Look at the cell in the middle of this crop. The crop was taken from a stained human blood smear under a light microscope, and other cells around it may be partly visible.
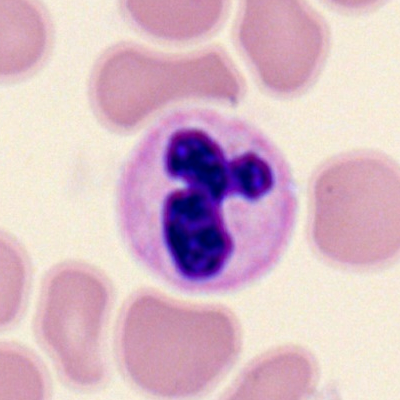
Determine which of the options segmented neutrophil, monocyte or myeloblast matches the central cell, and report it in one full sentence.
By classification, the middle cell of this crop is a segmented neutrophil.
